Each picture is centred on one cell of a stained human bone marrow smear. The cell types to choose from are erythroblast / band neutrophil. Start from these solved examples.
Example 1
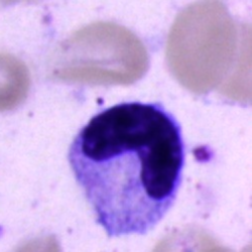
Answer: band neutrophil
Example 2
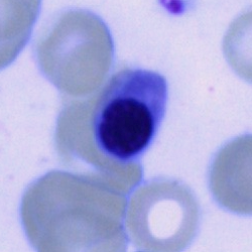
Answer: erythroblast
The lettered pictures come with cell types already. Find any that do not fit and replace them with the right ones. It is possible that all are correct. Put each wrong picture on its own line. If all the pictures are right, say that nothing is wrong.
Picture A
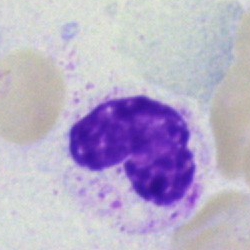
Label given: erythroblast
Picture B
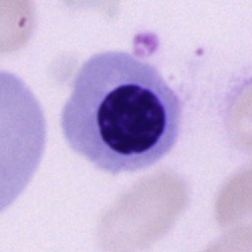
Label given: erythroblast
A: band neutrophil, not erythroblast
